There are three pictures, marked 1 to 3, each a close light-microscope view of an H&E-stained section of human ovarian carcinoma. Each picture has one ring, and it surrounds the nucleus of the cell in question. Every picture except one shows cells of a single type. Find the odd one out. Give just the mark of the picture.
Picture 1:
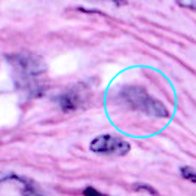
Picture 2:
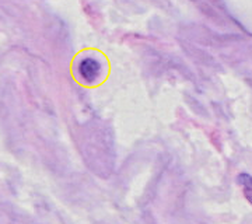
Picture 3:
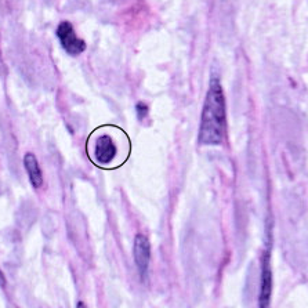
1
